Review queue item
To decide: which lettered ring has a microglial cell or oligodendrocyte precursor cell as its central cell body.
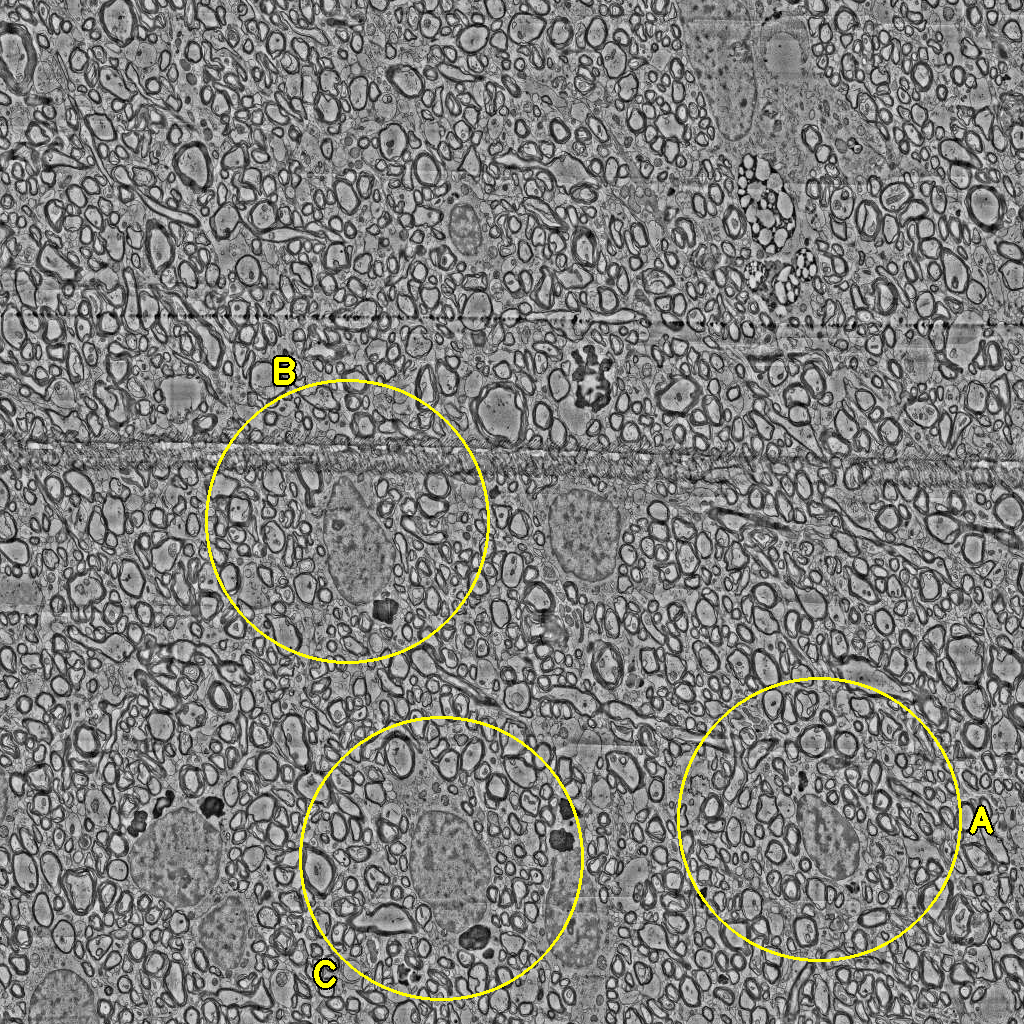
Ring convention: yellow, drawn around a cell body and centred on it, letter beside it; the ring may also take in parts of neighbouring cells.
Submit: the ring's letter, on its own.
A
